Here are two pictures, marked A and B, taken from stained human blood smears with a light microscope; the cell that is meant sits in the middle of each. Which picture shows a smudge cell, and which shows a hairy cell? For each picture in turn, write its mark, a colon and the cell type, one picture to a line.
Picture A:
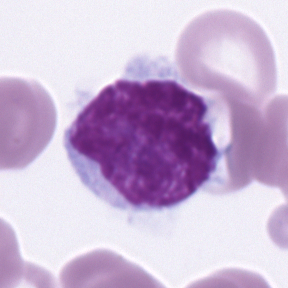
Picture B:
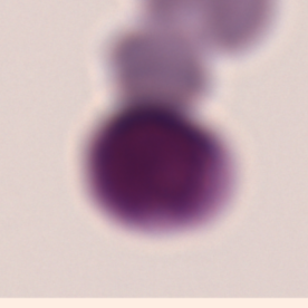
A: hairy cell
B: smudge cell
